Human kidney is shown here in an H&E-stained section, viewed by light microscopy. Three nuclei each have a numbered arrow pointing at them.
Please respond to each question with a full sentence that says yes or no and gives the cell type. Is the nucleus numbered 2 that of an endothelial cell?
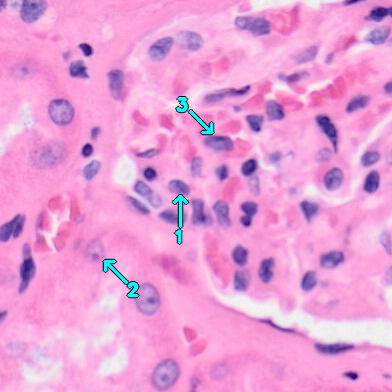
No, calling cell 2 an endothelial cell is a mistake; it is a proximal tubule cell.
